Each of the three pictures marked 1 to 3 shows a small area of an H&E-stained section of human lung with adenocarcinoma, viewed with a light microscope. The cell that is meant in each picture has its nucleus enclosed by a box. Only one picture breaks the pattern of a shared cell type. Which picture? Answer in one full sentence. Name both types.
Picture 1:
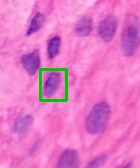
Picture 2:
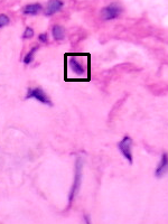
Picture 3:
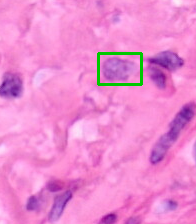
All pictures except 3 show “smooth muscle cells or pericytes”; picture 3 shows a fibroblast.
